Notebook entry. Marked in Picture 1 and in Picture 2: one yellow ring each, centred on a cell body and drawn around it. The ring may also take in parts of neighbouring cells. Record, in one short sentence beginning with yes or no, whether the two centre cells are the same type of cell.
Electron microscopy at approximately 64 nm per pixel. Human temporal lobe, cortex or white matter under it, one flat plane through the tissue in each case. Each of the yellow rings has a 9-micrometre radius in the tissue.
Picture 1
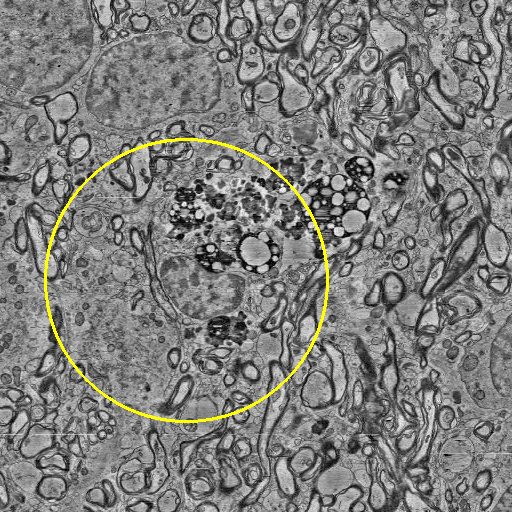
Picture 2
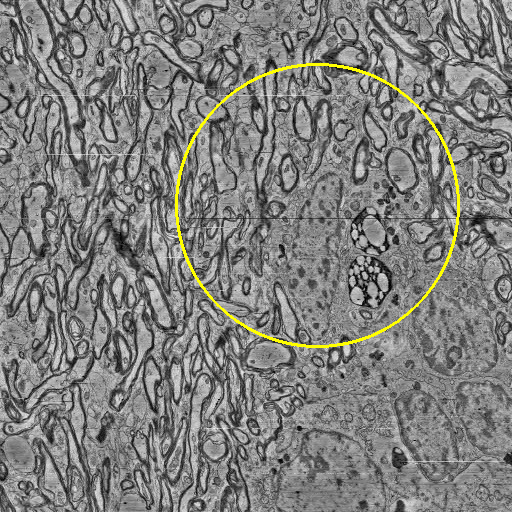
No, they are two types of cell.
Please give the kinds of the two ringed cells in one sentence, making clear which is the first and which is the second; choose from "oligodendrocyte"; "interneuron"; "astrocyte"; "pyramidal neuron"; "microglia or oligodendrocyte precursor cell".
In the second picture the ringed cell is an astrocyte; in the first it is a microglial cell or oligodendrocyte precursor cell.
